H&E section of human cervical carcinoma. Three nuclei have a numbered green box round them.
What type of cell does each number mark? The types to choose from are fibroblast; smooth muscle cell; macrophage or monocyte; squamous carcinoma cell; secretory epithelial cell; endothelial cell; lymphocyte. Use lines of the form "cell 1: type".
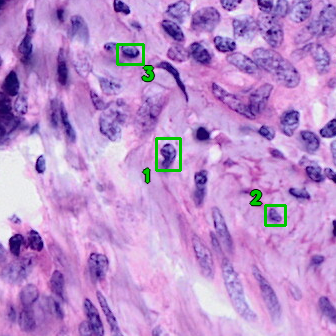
cell 1: lymphocyte
cell 2: smooth muscle cell
cell 3: lymphocyte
